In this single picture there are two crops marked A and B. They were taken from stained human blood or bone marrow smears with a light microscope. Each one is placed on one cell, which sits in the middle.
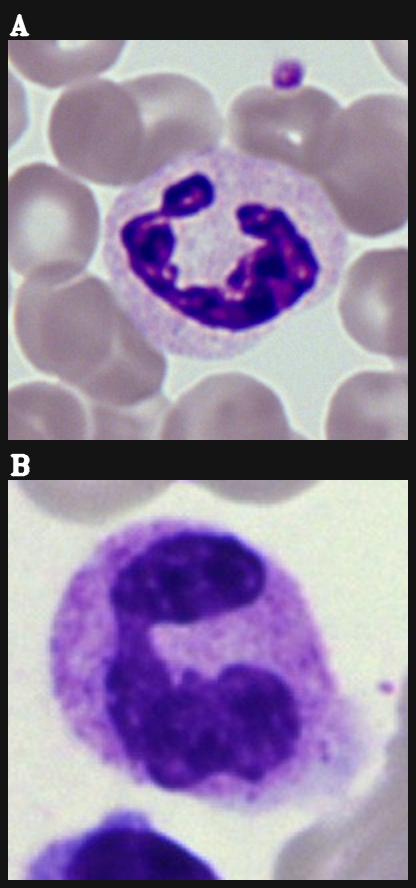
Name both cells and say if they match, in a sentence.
Yes, both the first crop and the second crop show segmented neutrophils.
